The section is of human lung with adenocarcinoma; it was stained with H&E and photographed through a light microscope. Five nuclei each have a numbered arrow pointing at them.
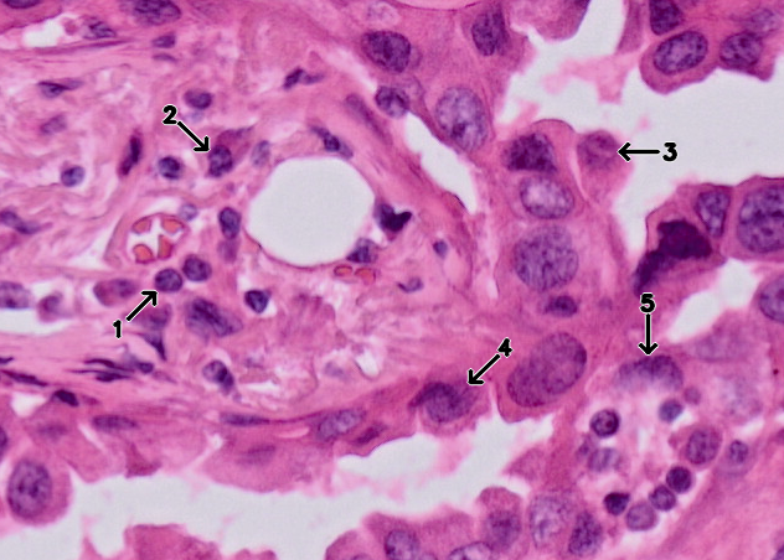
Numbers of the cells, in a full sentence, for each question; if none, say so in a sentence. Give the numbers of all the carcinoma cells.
The cells marked with the numbers 3, 4 and 5 are carcinoma cells.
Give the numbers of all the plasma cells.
Of the numbered nuclei, only the one labelled 2 belongs to a plasma cell.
